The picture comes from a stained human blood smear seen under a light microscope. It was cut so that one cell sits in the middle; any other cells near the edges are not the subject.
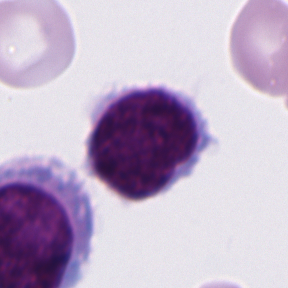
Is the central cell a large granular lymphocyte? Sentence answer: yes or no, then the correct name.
No, in the middle of the crop there is a hairy cell rather than a large granular lymphocyte.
